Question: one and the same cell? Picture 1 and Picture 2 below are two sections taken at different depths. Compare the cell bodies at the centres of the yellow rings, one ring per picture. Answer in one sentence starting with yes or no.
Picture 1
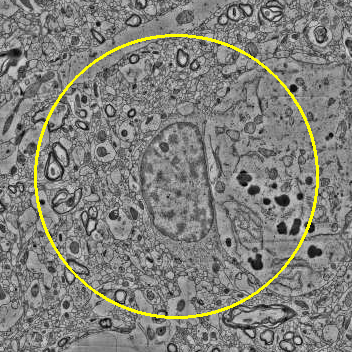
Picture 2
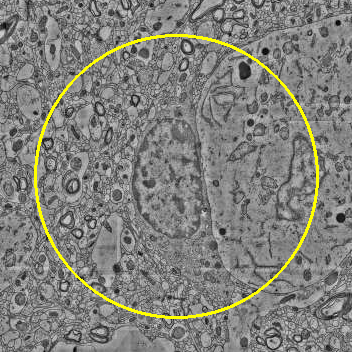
Yes, the two rings mark one cell and not separate cells.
